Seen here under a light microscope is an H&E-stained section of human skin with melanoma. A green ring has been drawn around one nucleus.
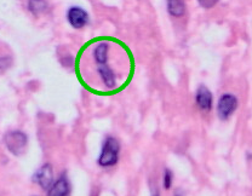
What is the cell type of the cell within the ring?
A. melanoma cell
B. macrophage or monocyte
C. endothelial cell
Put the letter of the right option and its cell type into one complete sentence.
The correct pick is option B; the cell within the ring is a macrophage or monocyte.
